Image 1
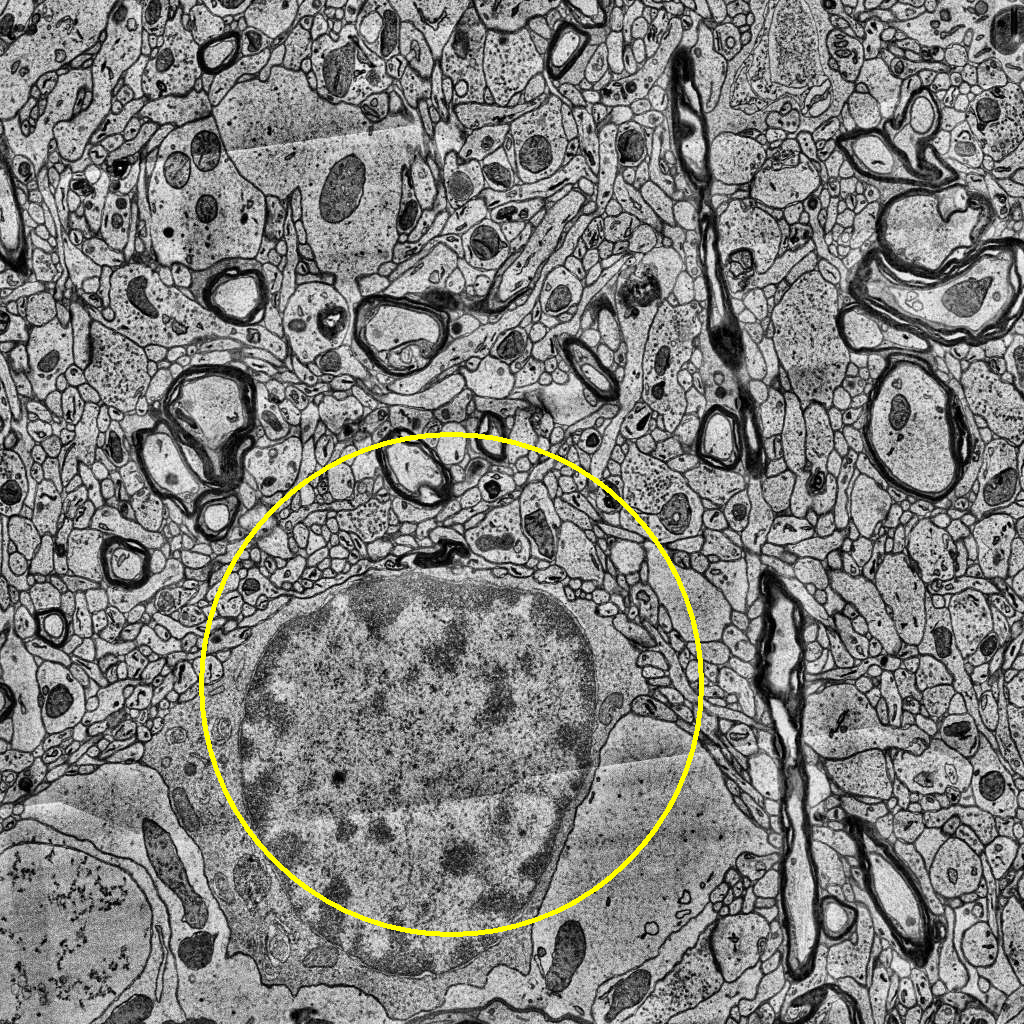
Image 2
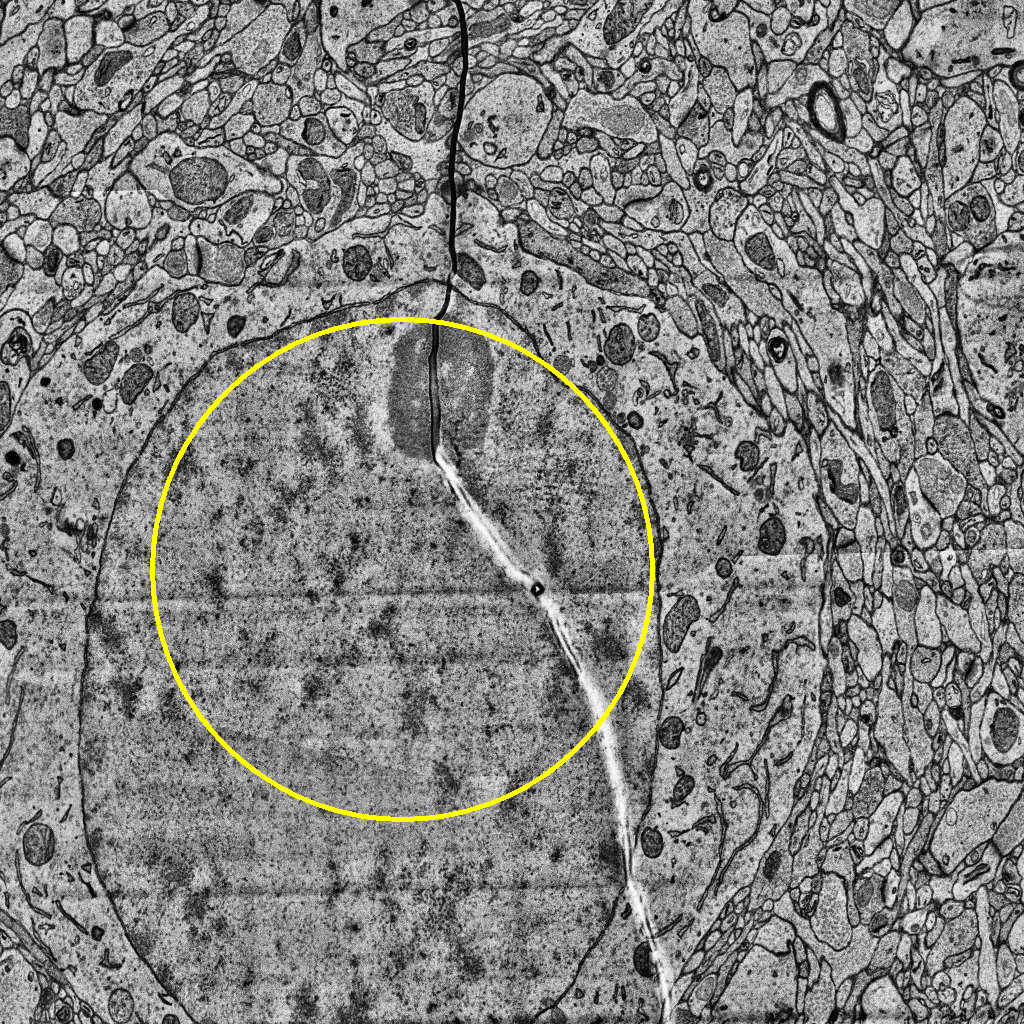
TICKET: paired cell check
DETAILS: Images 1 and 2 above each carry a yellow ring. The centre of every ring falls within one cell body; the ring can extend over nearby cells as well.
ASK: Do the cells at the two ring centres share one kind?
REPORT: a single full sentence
No, the cells at the ring centres of Images 1 and 2 belong to two kinds.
